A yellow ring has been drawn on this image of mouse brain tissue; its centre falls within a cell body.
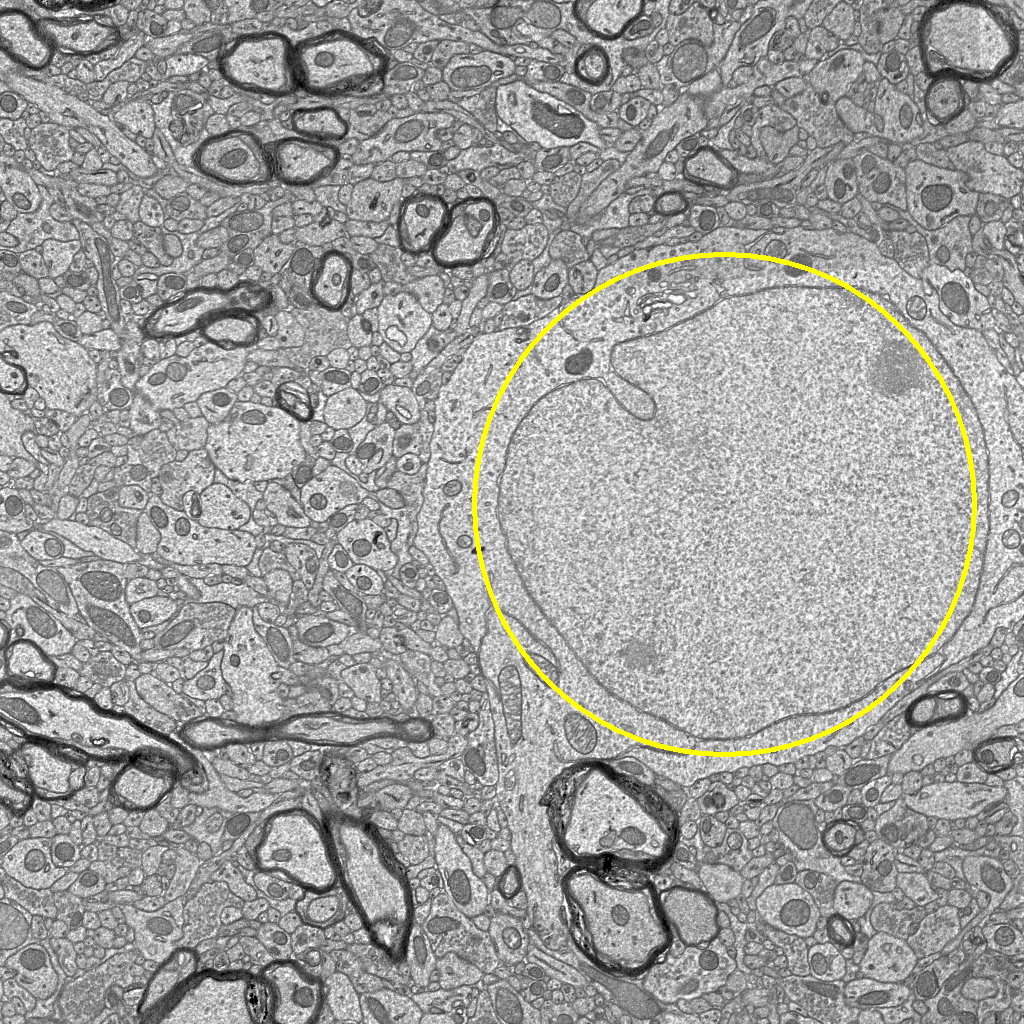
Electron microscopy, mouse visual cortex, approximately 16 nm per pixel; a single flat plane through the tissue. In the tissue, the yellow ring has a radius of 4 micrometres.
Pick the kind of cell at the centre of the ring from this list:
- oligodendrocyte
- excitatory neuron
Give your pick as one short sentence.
The centre of the ring holds an excitatory neuron.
